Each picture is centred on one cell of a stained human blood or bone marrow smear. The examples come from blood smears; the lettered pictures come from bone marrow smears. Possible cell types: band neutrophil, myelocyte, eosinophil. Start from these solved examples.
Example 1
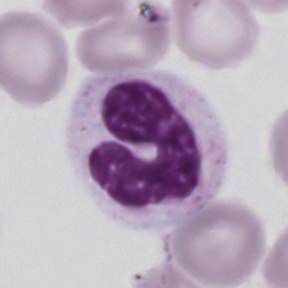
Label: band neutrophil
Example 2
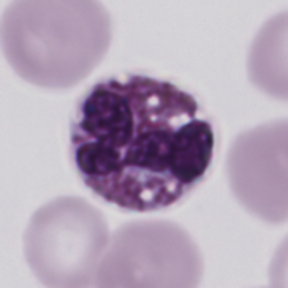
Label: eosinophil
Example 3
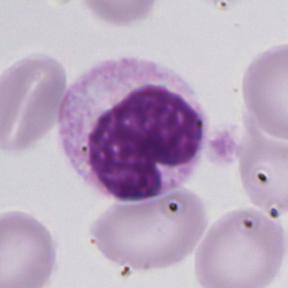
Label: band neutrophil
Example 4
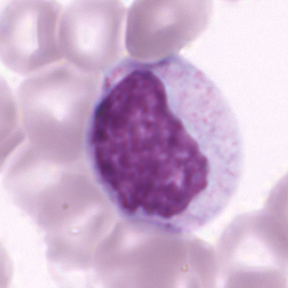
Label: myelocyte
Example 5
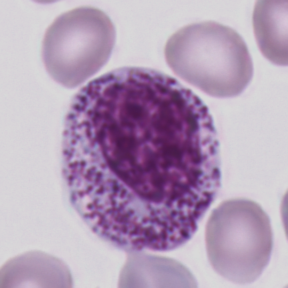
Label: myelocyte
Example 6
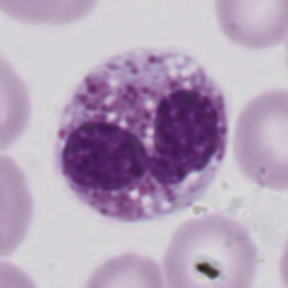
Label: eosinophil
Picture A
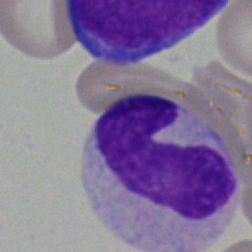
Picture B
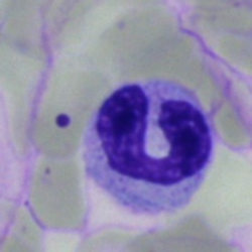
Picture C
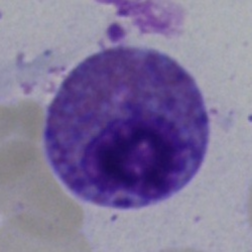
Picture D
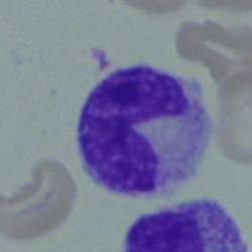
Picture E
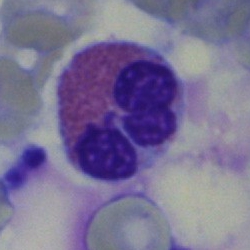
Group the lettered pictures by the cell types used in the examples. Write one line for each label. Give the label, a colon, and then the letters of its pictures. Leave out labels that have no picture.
band neutrophil: A, B, D
eosinophil: C, E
